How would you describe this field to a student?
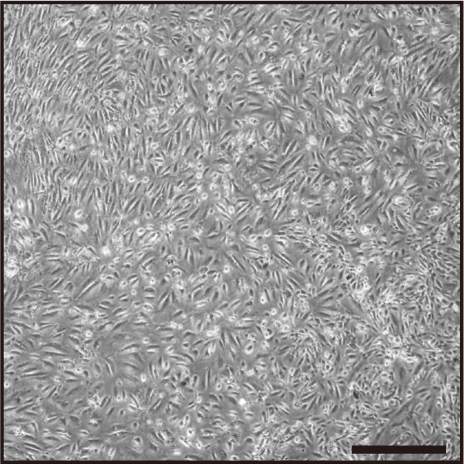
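The cells are slender and spindle-shaped, with tapering ends, and lie densely side by side in streams and swirls that run in different directions in different areas. Little open surface remains between them. Here and there small bright, rounded cells stand out against the flat, grey spindle cells.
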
